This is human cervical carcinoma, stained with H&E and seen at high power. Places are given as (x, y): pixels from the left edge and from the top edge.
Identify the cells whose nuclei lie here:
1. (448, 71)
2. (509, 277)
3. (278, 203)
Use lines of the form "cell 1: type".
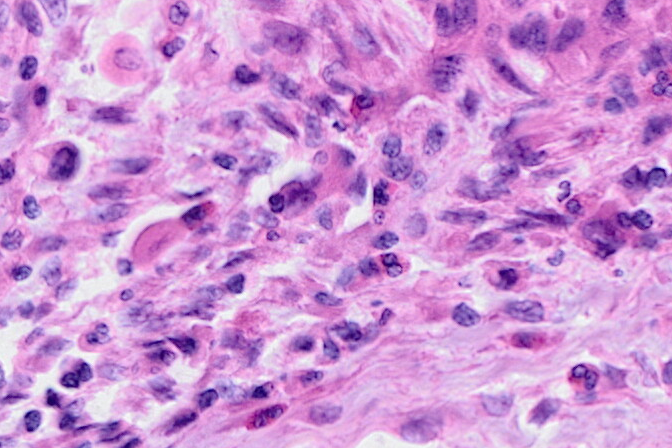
cell 1: squamous carcinoma cell
cell 2: macrophage or monocyte
cell 3: lymphocyte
